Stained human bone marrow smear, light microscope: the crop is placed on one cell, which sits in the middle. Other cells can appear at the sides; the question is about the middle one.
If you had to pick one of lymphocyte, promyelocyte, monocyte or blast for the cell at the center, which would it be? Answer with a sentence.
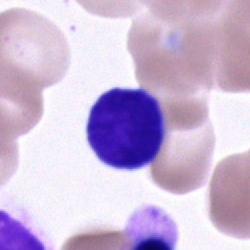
The cell found in the middle of this crop is a lymphocyte.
